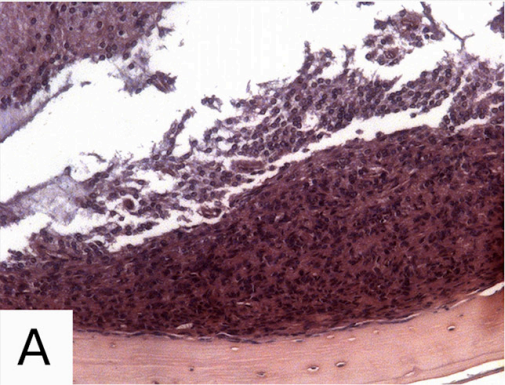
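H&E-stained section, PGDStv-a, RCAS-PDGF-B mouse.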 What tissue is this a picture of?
Meningioma.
